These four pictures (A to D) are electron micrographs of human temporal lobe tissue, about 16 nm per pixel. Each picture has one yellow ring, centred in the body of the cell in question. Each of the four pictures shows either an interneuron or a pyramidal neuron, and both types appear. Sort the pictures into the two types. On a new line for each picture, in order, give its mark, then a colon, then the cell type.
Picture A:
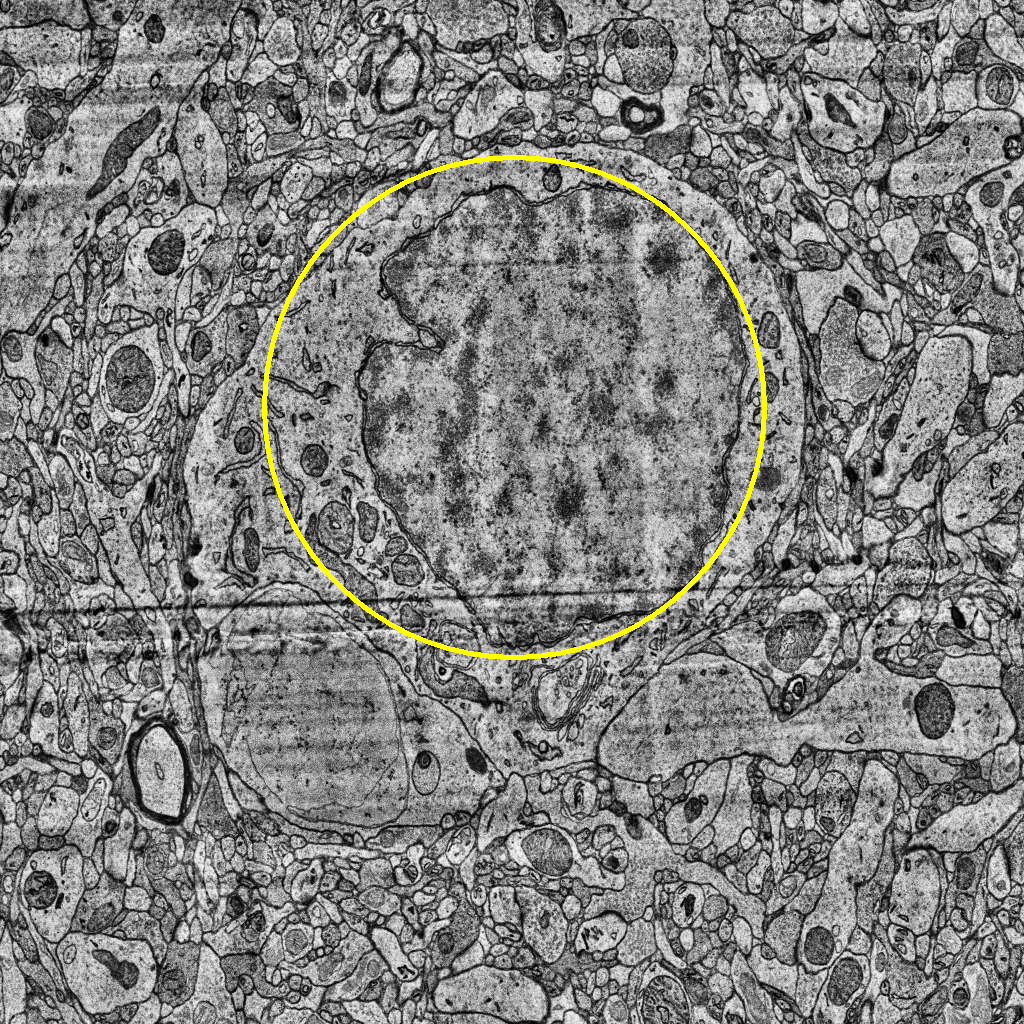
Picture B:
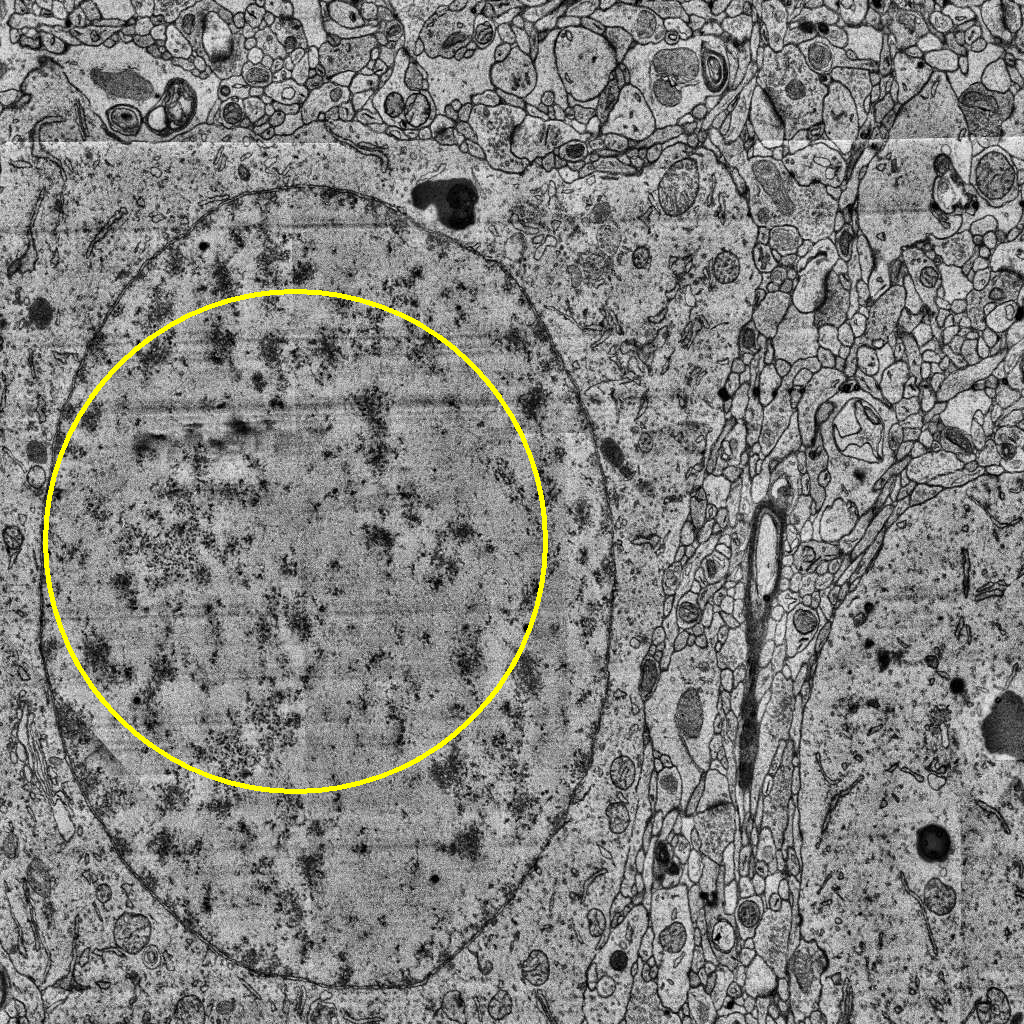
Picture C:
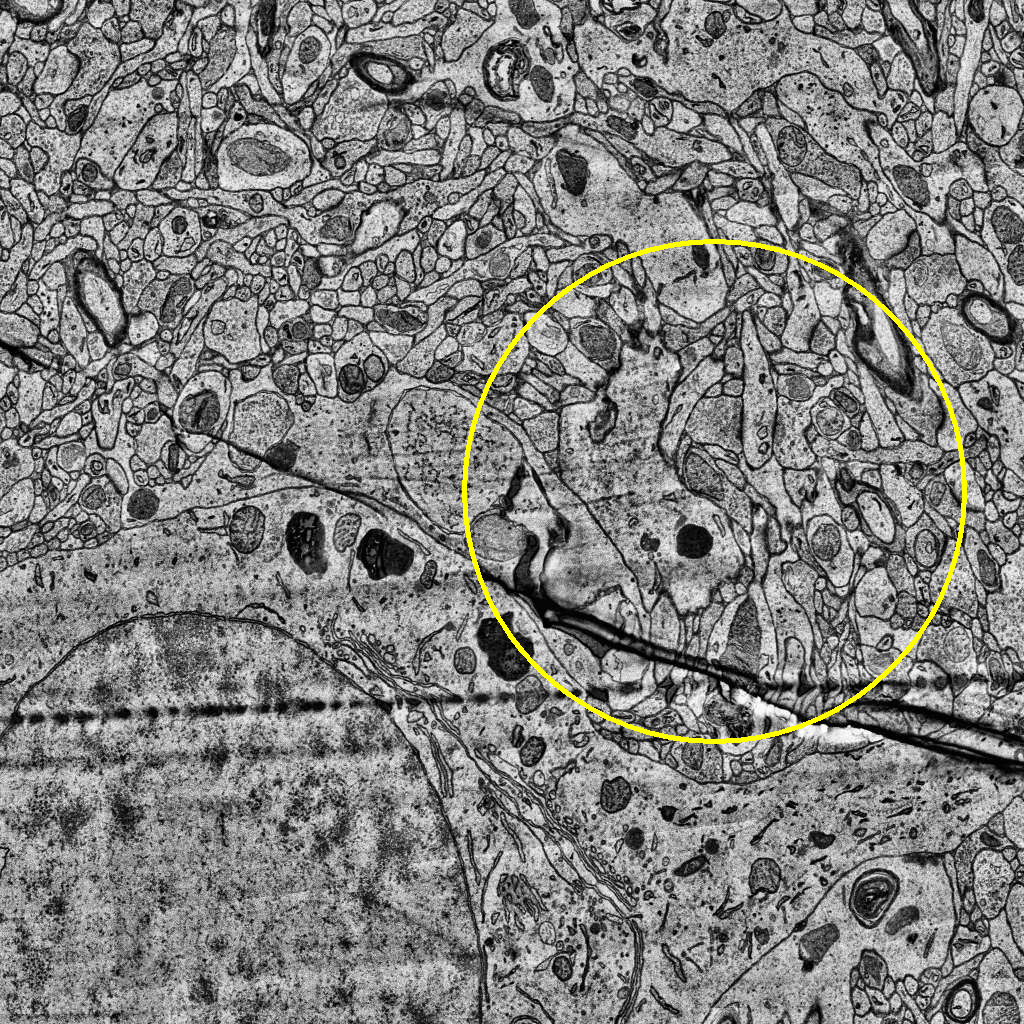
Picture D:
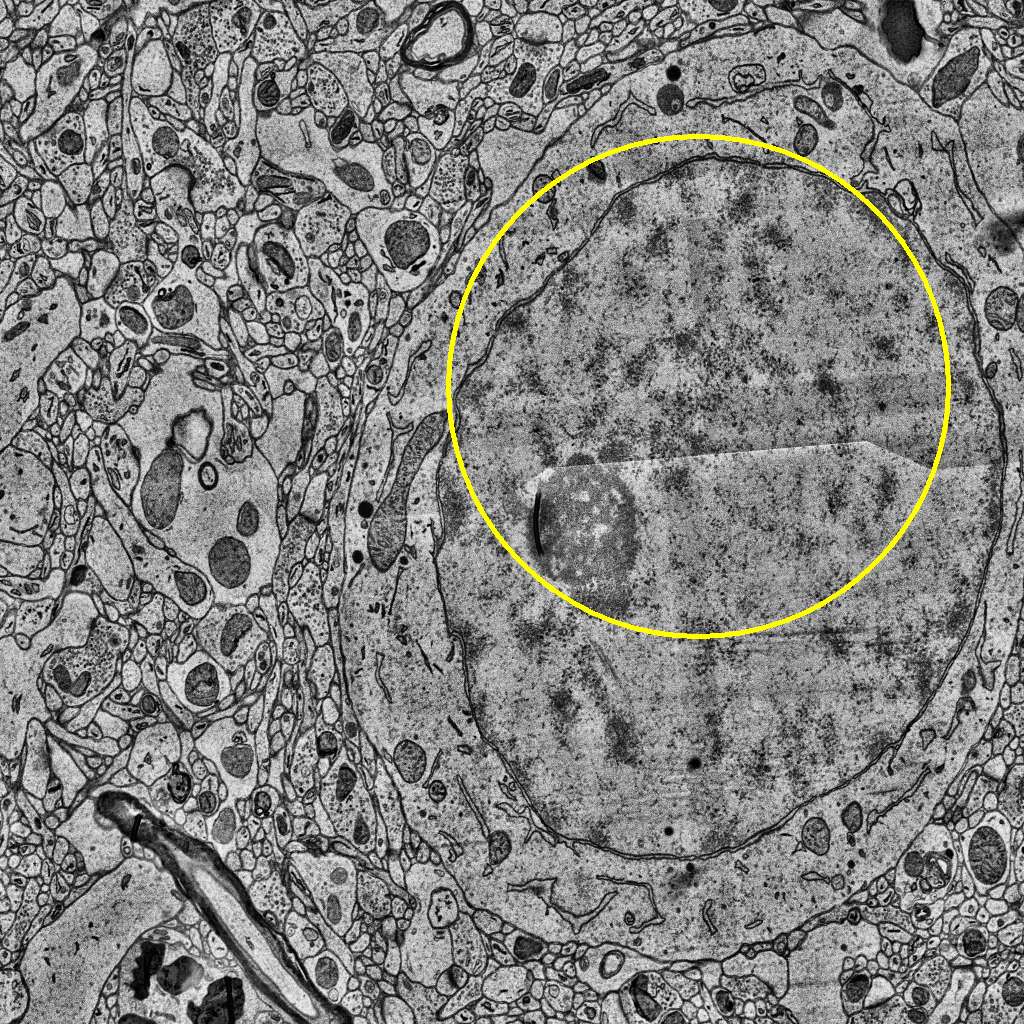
A: interneuron
B: pyramidal neuron
C: pyramidal neuron
D: interneuron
